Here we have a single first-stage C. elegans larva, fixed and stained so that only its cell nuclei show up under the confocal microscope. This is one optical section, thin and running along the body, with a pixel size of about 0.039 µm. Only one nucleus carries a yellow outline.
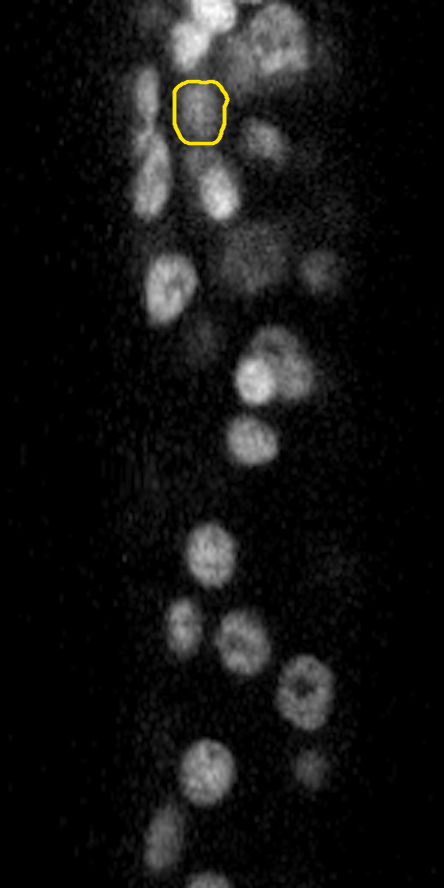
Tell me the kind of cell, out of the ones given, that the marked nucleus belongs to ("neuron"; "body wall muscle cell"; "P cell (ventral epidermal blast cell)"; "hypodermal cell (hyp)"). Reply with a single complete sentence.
It is the nucleus of a neuron.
